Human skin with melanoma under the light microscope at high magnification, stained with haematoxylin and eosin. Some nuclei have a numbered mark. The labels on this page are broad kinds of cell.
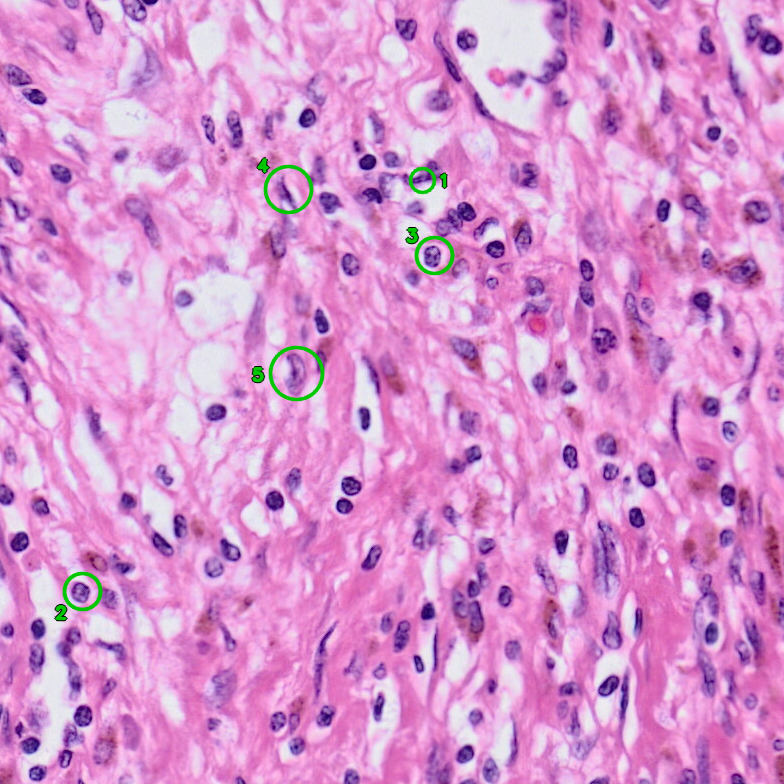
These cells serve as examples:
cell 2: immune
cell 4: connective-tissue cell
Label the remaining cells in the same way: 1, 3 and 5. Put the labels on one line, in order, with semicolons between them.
connective-tissue cell; immune; connective-tissue cell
